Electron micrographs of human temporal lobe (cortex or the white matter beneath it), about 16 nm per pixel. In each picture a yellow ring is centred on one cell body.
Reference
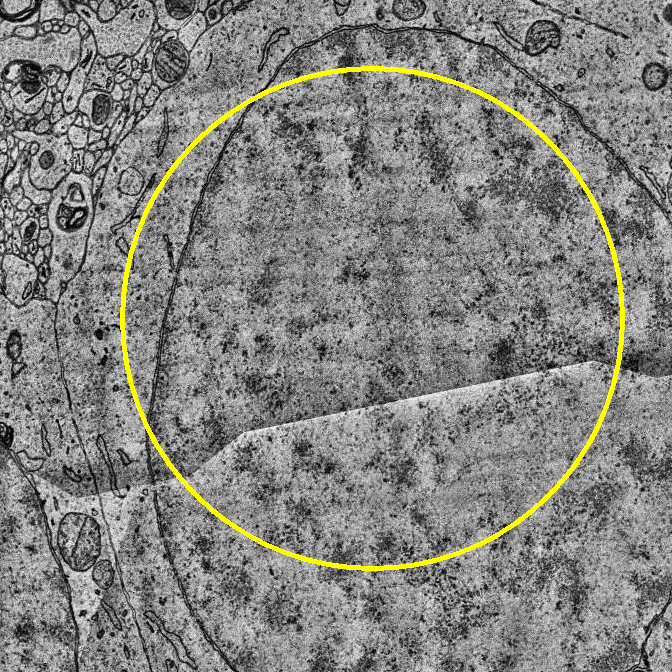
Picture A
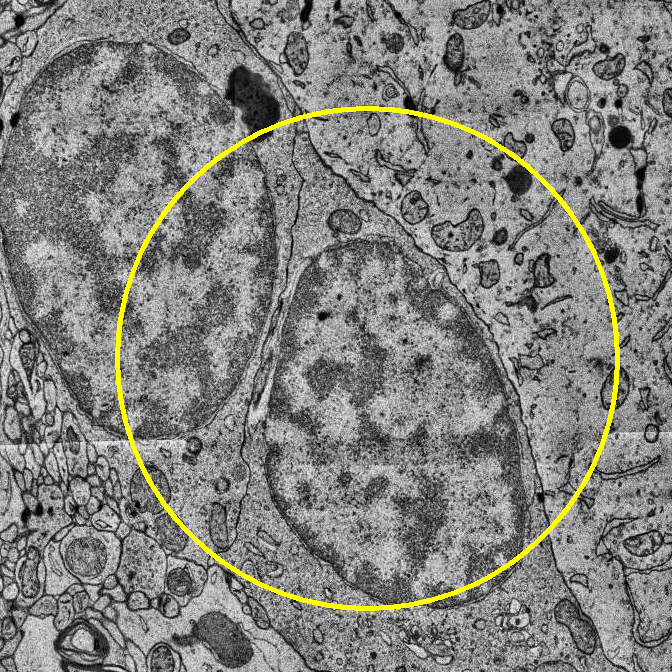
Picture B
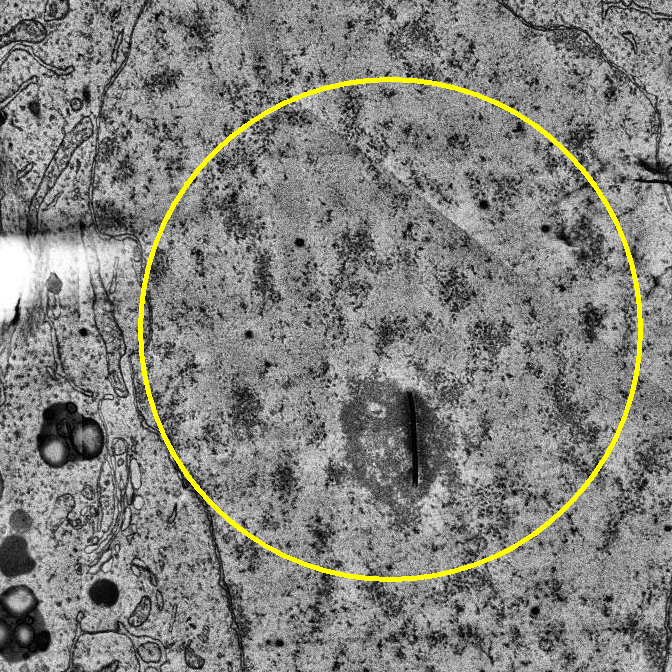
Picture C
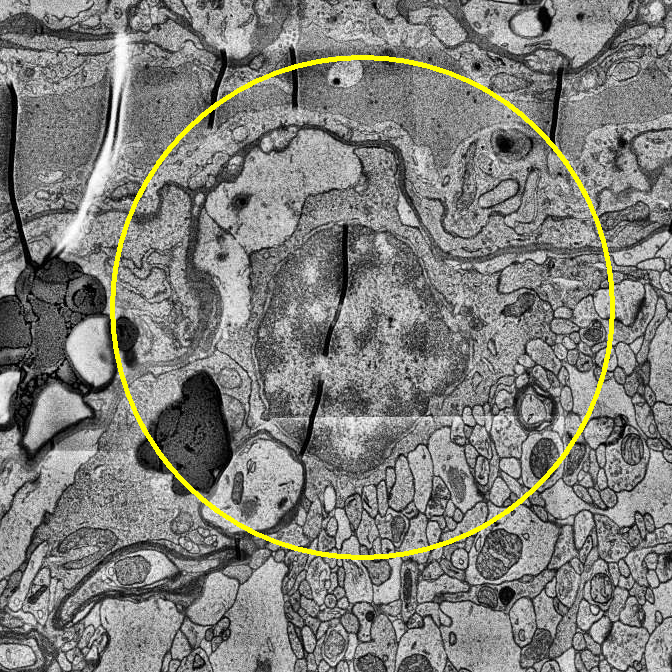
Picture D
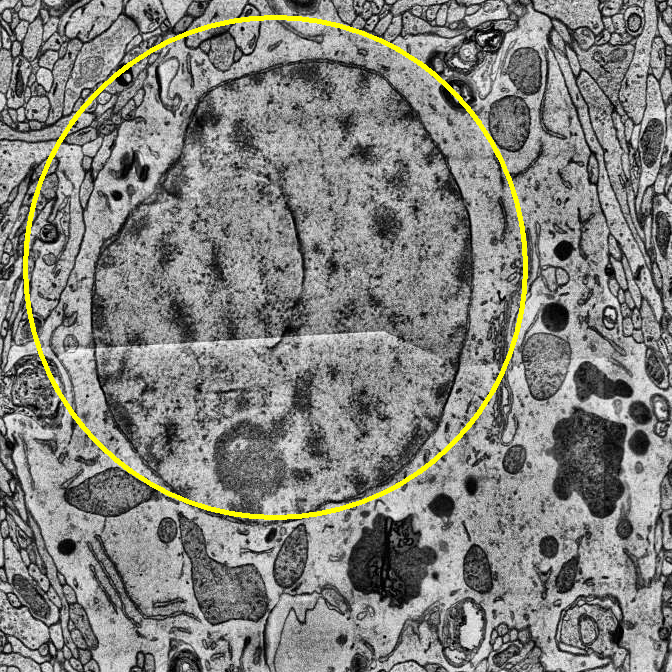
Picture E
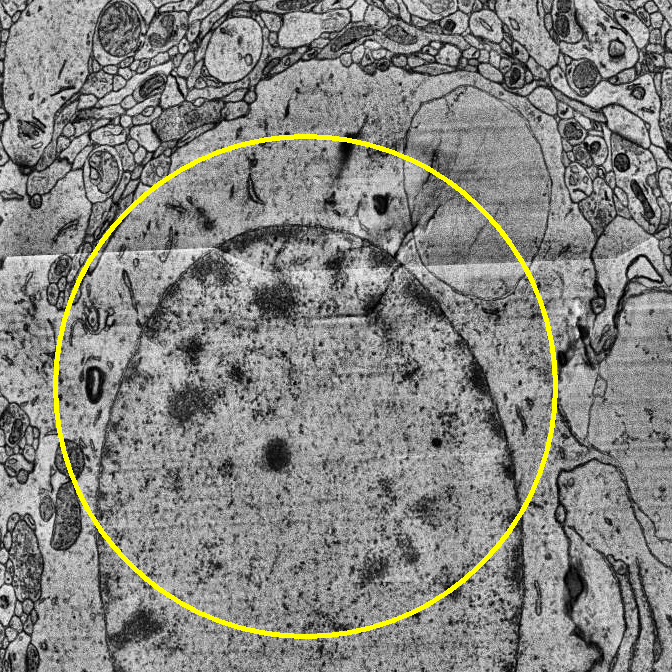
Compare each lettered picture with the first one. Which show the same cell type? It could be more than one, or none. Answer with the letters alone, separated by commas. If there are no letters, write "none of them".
none of them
